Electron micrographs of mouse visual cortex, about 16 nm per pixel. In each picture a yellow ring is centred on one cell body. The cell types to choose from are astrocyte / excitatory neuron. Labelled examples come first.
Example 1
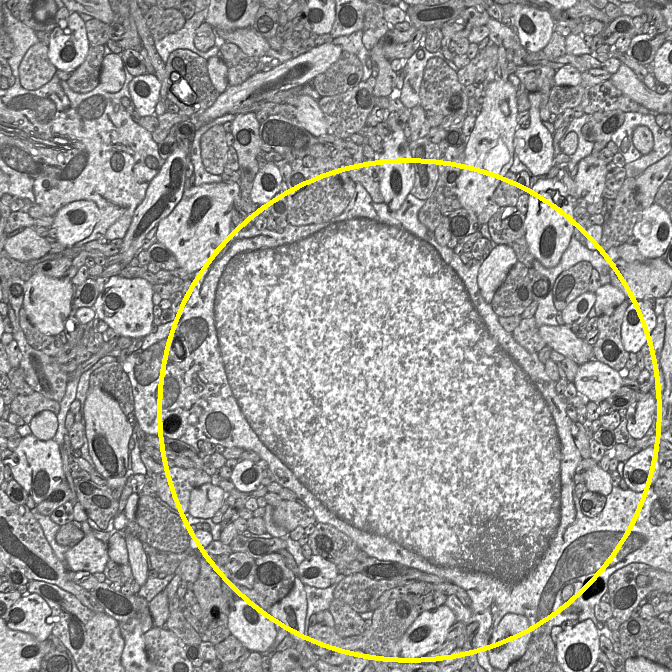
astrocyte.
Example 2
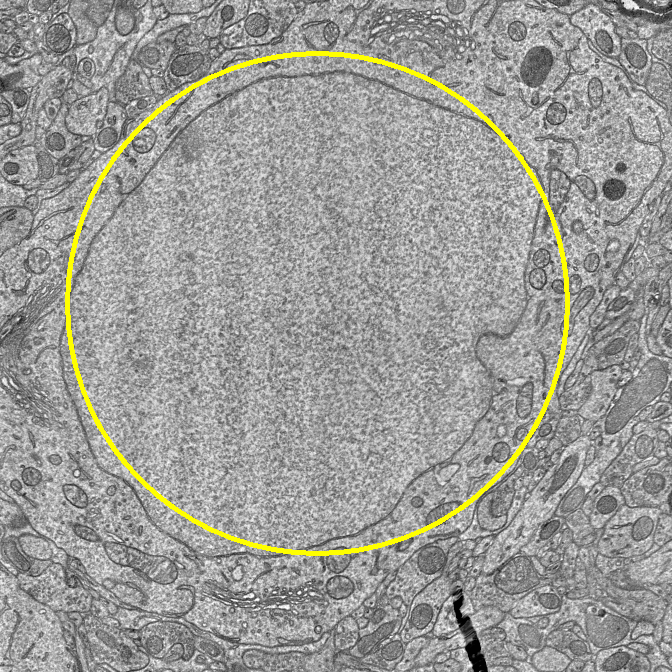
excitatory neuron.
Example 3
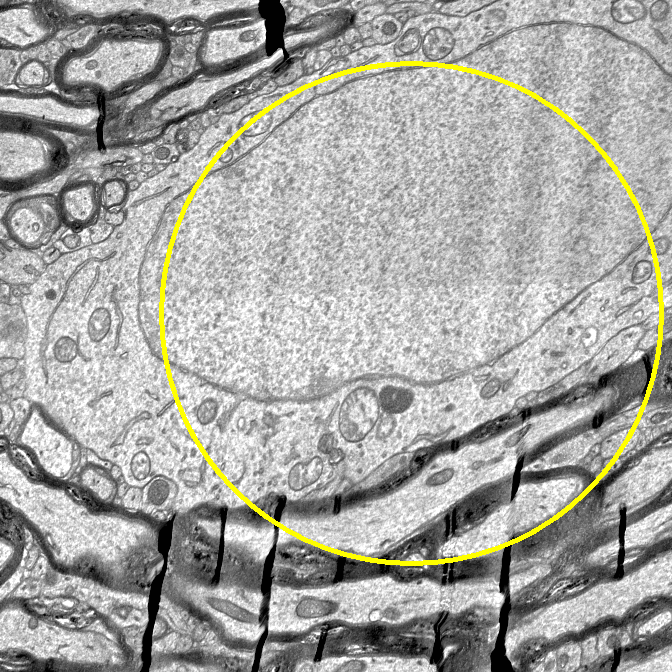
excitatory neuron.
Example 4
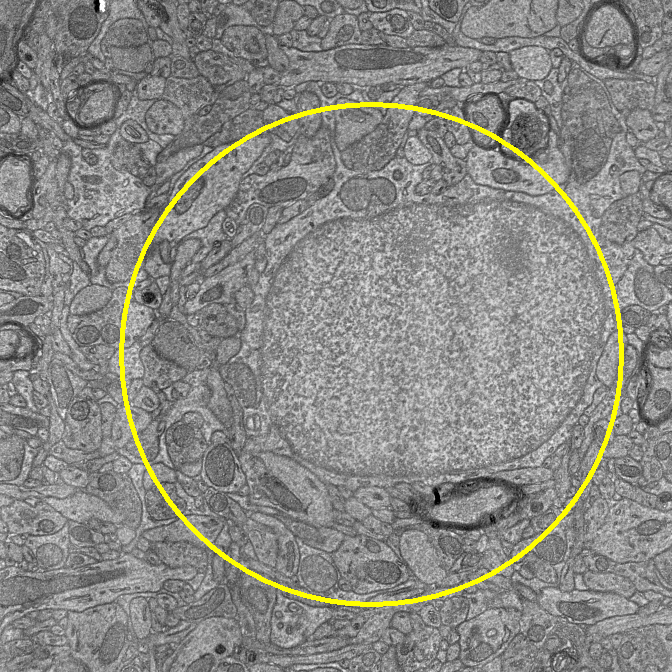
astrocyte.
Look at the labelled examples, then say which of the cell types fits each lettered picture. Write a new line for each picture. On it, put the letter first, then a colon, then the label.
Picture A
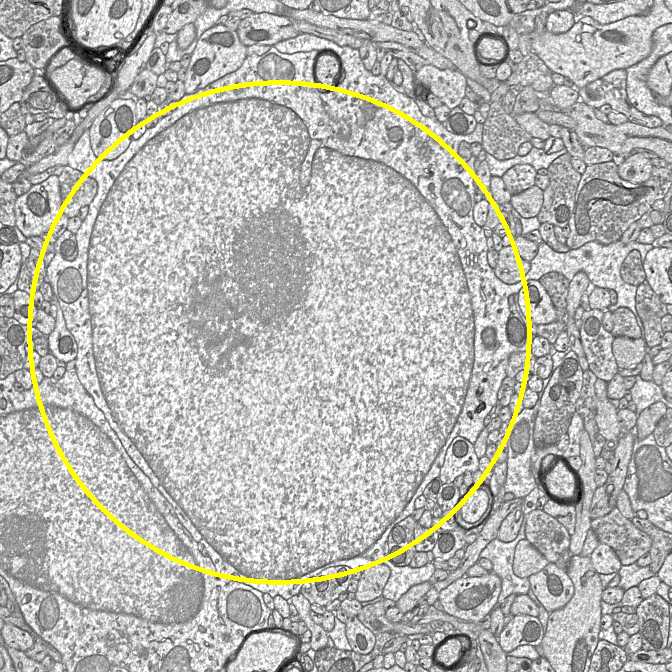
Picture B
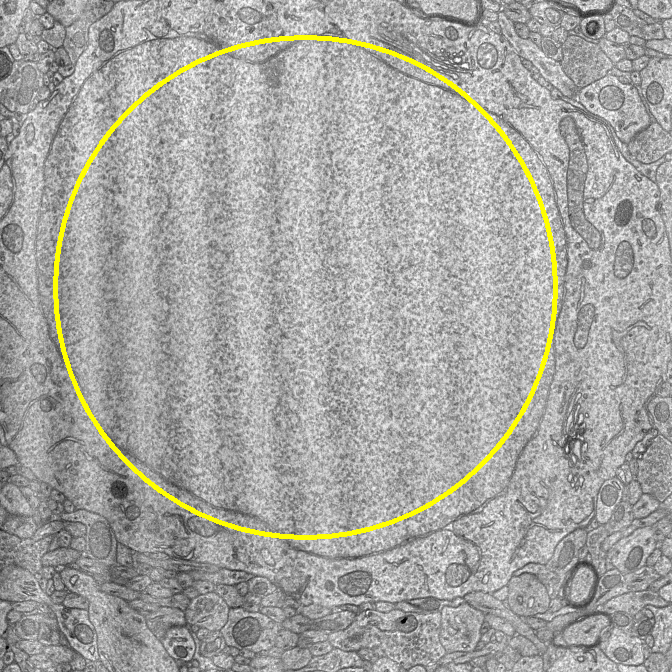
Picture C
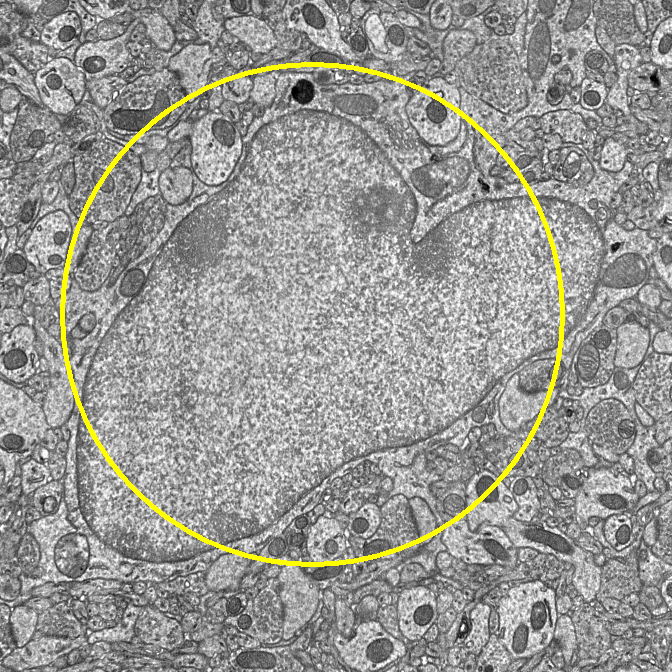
A: astrocyte.
B: excitatory neuron.
C: astrocyte.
